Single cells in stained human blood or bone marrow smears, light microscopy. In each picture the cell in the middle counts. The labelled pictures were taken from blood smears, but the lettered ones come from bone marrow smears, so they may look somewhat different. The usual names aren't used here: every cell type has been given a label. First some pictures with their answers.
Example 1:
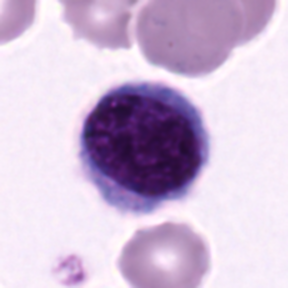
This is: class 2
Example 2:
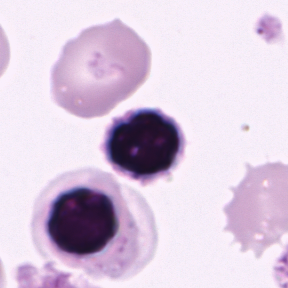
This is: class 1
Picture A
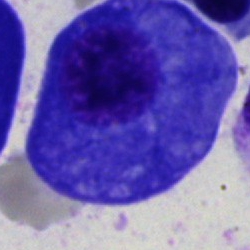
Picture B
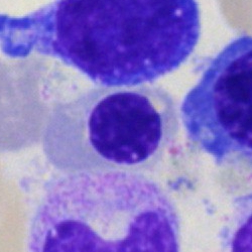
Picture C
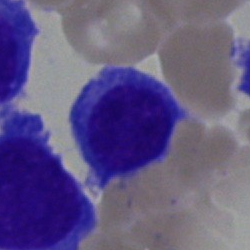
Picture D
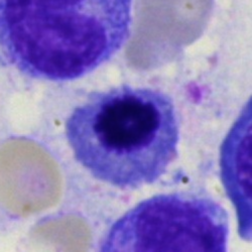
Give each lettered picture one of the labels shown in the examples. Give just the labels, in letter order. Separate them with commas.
class 2, class 1, class 2, class 1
